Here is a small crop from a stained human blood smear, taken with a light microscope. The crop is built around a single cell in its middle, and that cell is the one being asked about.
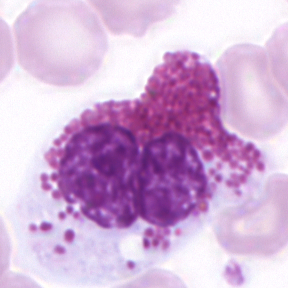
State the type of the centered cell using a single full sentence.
The cell at the middle of the crop is recognized as an eosinophil.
